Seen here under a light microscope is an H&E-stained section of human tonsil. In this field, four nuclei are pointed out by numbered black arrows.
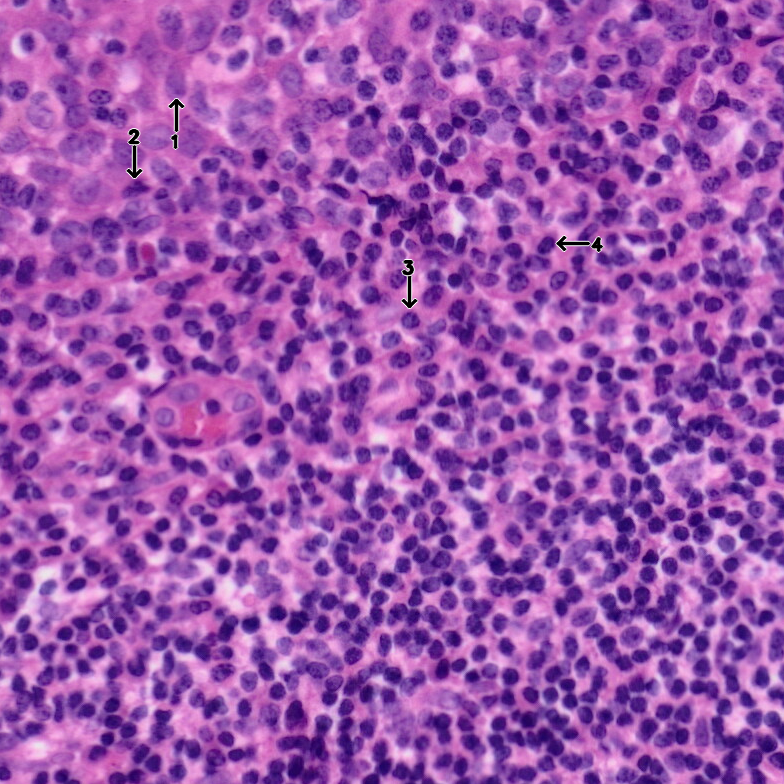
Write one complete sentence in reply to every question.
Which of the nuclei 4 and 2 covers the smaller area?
Nucleus 4 is the smaller one; nucleus 2 covers about 1.5 times its area.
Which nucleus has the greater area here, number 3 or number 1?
Number 1 is larger; its area is about 1.5 times that of number 3.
